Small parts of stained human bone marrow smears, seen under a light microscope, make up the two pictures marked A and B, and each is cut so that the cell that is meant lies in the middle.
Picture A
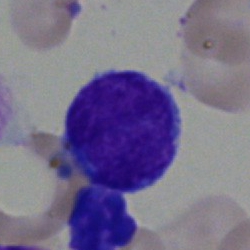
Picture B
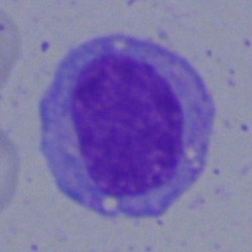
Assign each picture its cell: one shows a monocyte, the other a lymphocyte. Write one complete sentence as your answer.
The cell in picture A is a lymphocyte, and the one in picture B is a monocyte.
